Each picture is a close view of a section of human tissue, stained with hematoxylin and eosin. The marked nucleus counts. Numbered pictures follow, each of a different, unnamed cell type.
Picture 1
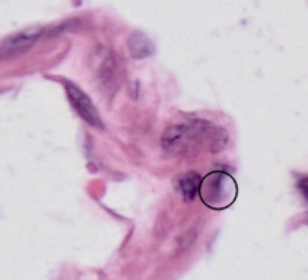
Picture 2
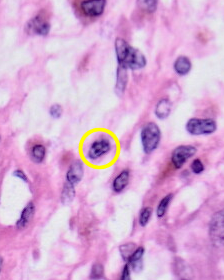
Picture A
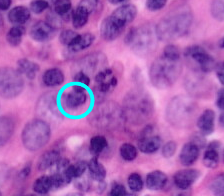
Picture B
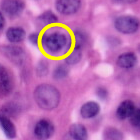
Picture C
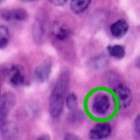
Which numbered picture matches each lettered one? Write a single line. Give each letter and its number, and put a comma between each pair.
A 1, B 2, C 2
